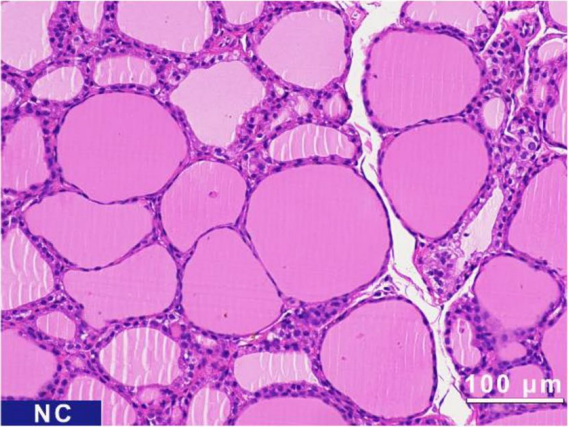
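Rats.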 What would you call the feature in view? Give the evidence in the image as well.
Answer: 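Thyroid follicles. Round to polygonal sacs filled with homogeneous pink material. Each sac is lined by a single layer of epithelial cells with dark purple nuclei. The sacs are packed closely side by side with thin tissue between them.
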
